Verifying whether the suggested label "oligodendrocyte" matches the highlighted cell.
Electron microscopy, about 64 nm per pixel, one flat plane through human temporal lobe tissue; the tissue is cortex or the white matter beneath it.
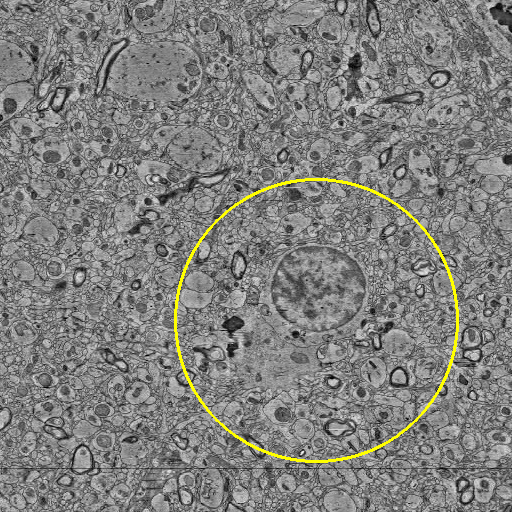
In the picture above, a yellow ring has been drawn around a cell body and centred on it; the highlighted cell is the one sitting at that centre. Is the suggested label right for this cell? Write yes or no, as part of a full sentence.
Yes, the suggested label is right for the cell centred in the yellow ring.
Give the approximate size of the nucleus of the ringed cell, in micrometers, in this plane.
Roughly 6 micrometres across for the nucleus, in this plane.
